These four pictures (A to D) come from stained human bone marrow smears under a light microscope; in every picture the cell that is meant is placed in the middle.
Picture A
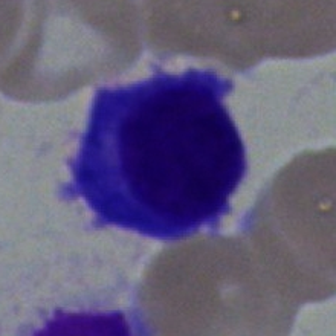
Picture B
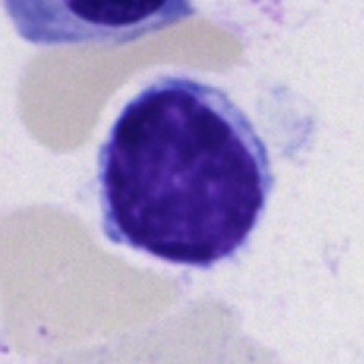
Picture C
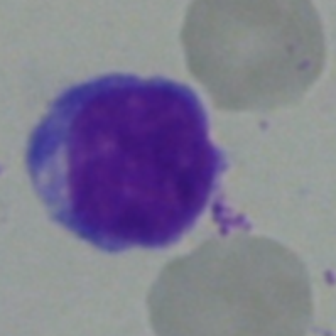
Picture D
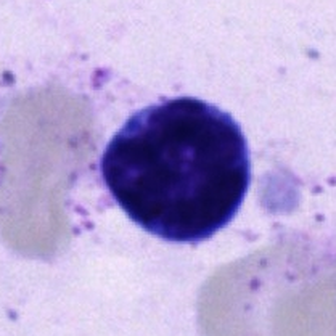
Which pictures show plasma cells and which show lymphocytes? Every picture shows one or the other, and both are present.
A: plasma cell
B: lymphocyte
C: lymphocyte
D: lymphocyte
